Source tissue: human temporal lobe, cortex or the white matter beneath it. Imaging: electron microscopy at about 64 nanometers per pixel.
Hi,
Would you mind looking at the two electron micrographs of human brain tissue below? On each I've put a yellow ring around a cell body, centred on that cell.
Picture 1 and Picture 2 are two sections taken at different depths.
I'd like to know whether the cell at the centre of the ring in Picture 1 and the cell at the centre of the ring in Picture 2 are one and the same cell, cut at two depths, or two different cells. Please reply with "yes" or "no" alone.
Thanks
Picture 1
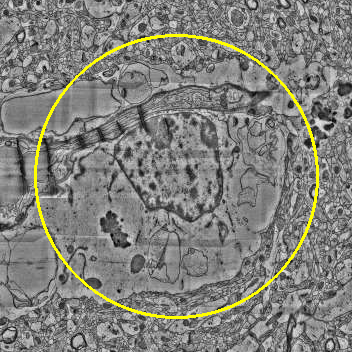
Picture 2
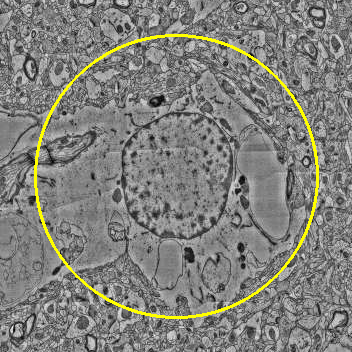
yes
